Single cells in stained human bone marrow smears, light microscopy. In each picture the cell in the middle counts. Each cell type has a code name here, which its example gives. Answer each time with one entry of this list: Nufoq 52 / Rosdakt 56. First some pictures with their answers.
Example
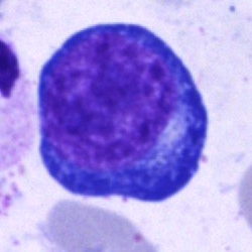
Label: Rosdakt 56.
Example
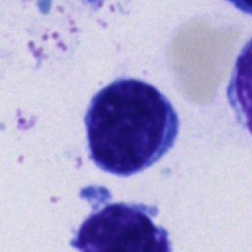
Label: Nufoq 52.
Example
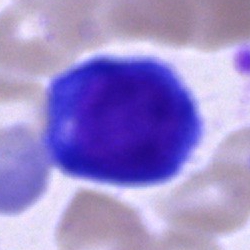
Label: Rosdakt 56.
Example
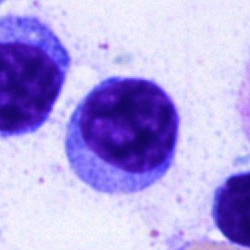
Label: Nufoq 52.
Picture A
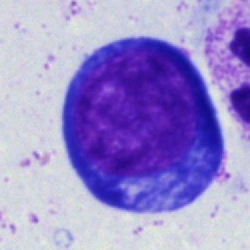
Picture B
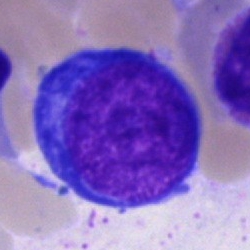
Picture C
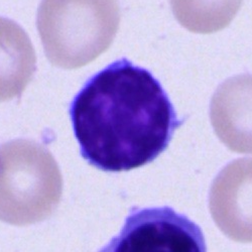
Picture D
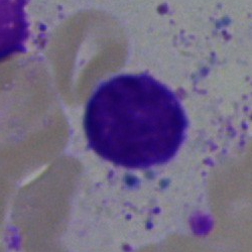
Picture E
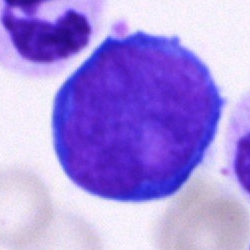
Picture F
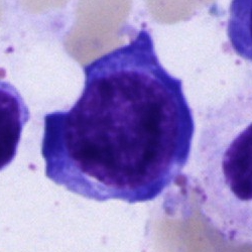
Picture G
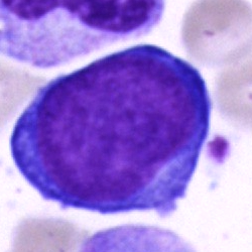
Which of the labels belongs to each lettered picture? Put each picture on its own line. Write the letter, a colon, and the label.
A: Rosdakt 56.
B: Rosdakt 56.
C: Nufoq 52.
D: Nufoq 52.
E: Rosdakt 56.
F: Rosdakt 56.
G: Rosdakt 56.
